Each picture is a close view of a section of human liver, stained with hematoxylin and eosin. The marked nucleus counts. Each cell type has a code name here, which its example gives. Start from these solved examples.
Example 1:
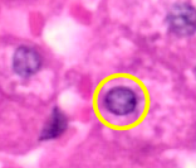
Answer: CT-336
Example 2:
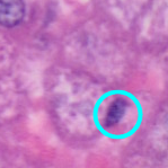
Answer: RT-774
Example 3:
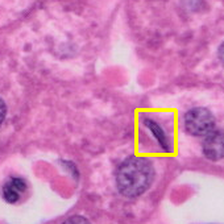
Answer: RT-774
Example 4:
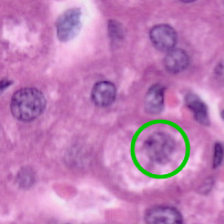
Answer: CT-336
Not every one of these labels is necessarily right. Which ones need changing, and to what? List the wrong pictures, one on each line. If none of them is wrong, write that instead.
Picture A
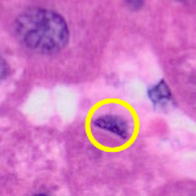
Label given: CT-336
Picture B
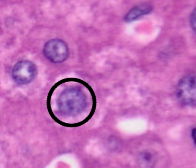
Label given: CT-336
A is labelled CT-336; correct label: RT-774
